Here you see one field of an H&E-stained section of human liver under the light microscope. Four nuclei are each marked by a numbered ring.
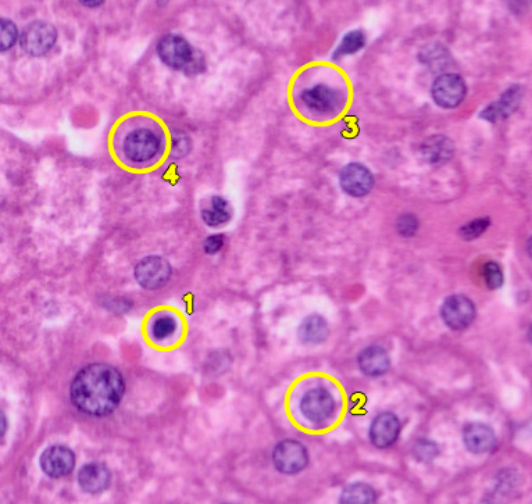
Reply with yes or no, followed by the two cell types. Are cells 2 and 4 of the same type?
Yes, both are hepatocytes.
